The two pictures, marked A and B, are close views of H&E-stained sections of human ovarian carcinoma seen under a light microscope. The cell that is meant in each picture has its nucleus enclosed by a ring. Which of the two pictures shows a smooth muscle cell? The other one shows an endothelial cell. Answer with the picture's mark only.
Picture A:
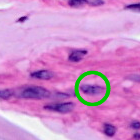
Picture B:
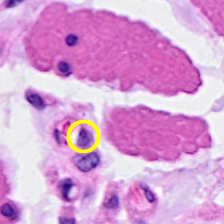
A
